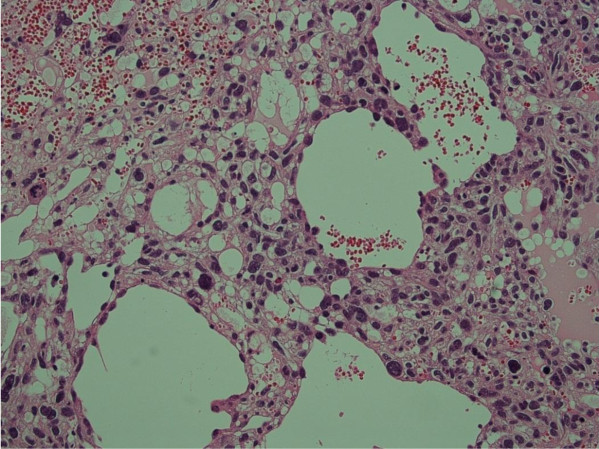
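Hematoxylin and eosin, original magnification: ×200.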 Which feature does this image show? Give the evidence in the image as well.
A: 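Anastomosing vascular channels and cystic spaces. Many irregular open spaces of varying size interconnect across the tissue. Several of the spaces contain clusters of red blood cells. Large cyst-like empty spaces are present, especially at the bottom and centre.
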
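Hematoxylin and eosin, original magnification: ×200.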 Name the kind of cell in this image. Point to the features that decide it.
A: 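Malignant cells. The cells lining the spaces have large, dark, irregular nuclei. The nuclei vary markedly in size and shape, some of them very enlarged. The cells are crowded and pile up between the channels.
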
